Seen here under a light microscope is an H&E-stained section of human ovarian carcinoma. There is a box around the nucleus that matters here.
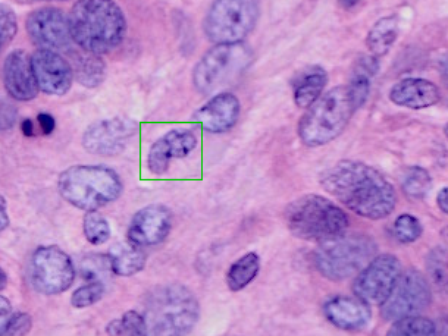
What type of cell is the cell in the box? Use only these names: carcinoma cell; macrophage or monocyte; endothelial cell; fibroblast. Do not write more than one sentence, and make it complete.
As for its identity, the cell in the box is a macrophage or monocyte.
